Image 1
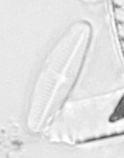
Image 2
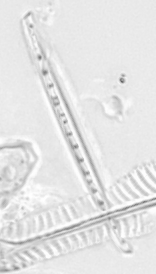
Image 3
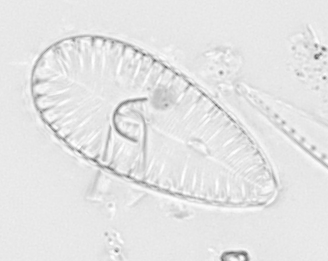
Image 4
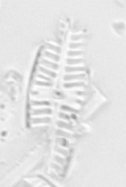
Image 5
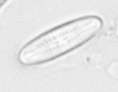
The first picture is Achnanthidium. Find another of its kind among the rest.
Picture 5.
